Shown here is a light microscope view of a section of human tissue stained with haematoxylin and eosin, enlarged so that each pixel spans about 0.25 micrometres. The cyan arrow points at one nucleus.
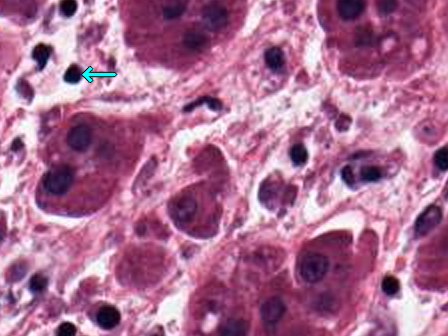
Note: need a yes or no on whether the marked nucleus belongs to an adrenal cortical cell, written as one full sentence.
No, it is not an adrenal cortical cell but a supporting cell to which the marked nucleus is assigned.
